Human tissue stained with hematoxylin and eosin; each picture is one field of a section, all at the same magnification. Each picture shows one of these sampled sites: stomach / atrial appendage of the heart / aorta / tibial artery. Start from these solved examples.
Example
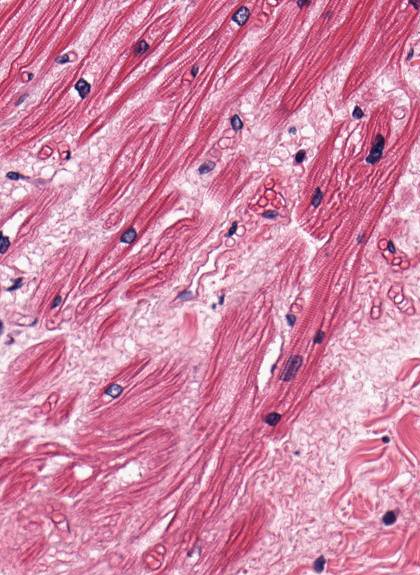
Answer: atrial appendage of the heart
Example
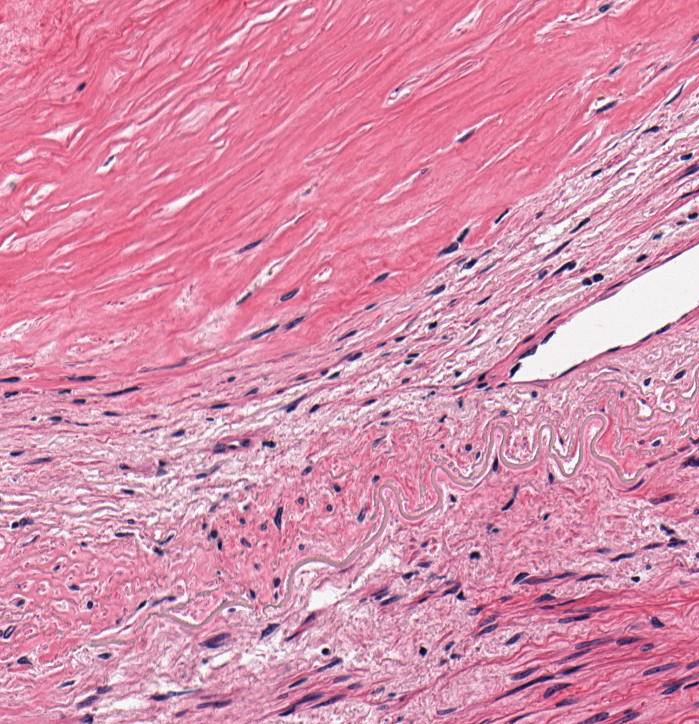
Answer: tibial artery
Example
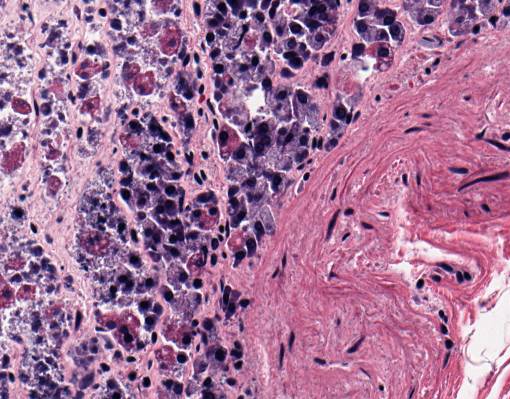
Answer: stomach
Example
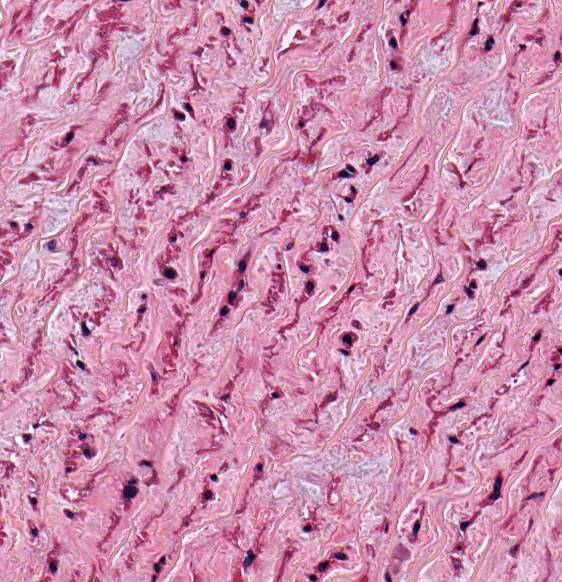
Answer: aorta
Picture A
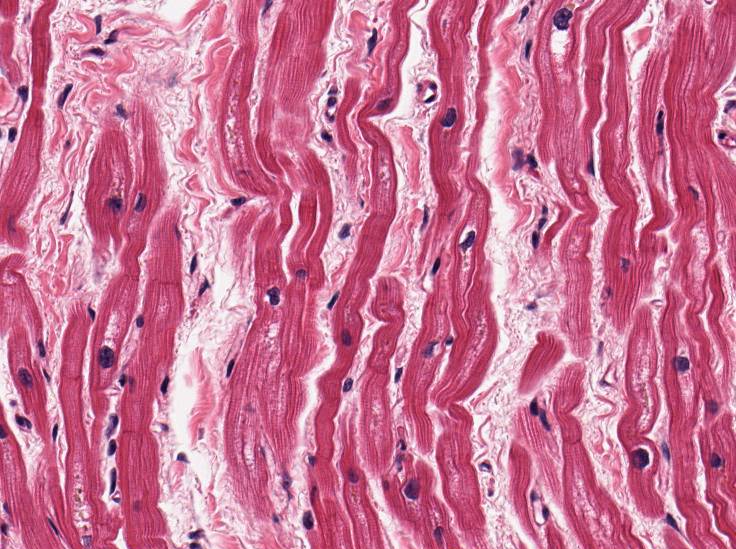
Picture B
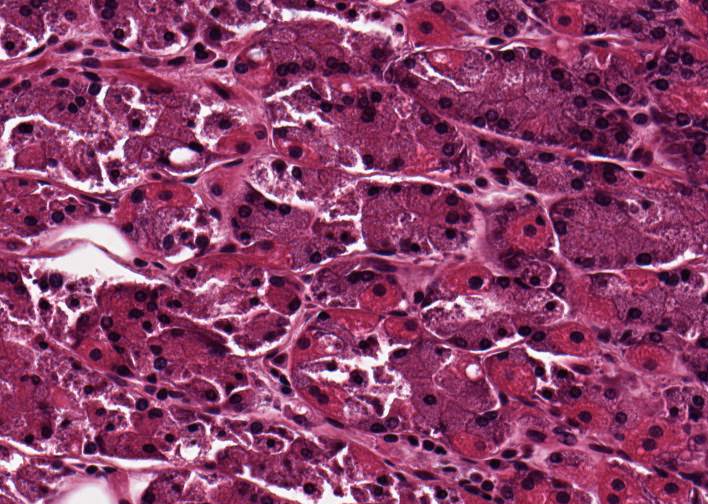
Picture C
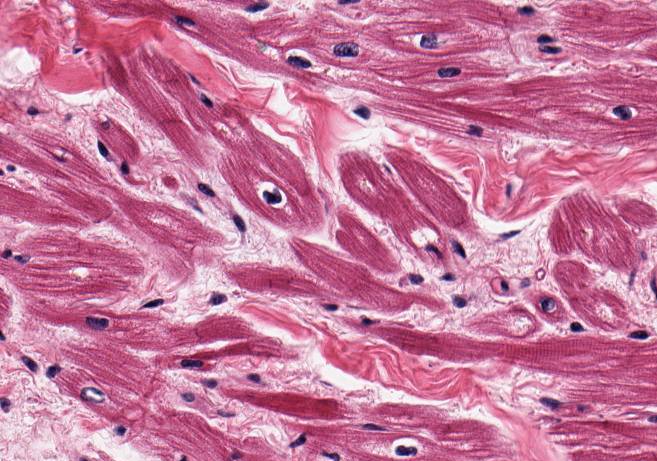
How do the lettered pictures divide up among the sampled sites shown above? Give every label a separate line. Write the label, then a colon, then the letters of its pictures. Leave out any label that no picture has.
stomach: B
atrial appendage of the heart: A, C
